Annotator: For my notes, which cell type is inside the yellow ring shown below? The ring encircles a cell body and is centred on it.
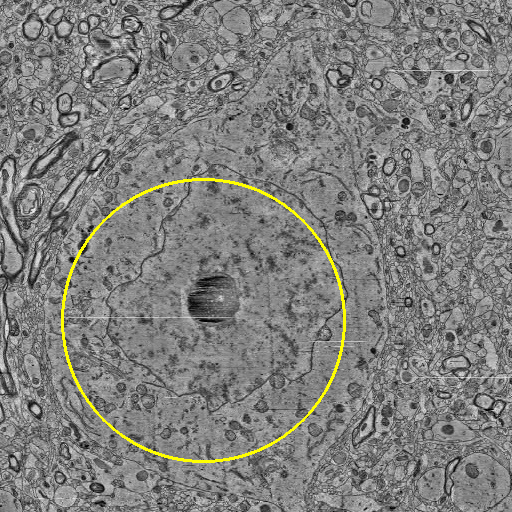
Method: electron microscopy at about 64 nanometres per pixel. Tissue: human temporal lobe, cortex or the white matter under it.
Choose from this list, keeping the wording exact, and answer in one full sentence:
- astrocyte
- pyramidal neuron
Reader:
At the centre of the yellow ring there is a pyramidal neuron, as shown in the picture.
